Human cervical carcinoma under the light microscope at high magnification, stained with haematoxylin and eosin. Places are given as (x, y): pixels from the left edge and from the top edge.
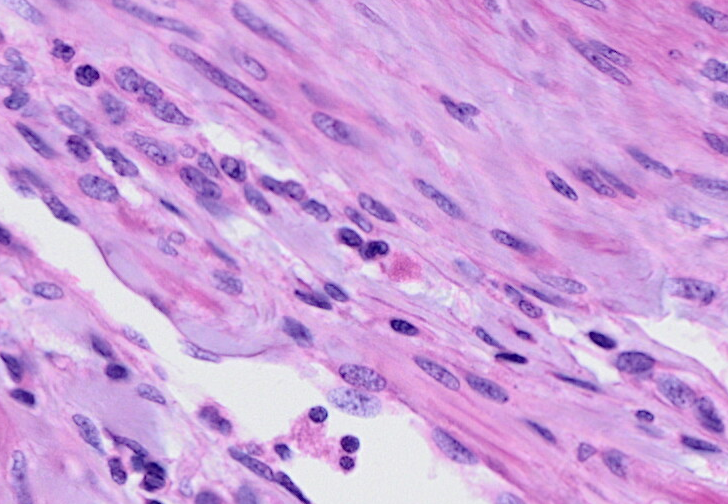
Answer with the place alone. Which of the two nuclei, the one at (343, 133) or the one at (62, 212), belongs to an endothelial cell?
(62, 212)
